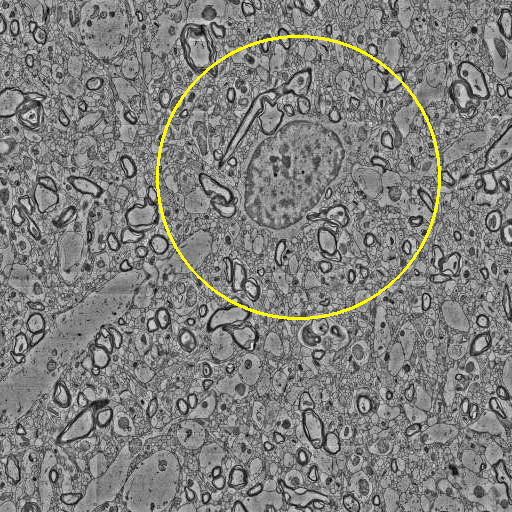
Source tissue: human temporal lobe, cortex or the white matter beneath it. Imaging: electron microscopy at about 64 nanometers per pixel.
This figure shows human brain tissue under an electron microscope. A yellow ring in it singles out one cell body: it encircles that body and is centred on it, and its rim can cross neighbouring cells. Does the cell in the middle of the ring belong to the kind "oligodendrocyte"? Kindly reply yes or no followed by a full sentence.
Yes, the kind asked about is right for the cell centred in the figure's ring.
